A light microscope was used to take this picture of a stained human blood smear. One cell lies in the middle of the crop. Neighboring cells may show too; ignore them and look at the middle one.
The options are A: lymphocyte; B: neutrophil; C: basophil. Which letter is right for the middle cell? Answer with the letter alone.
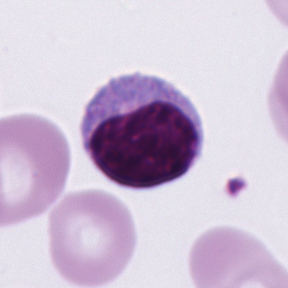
A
